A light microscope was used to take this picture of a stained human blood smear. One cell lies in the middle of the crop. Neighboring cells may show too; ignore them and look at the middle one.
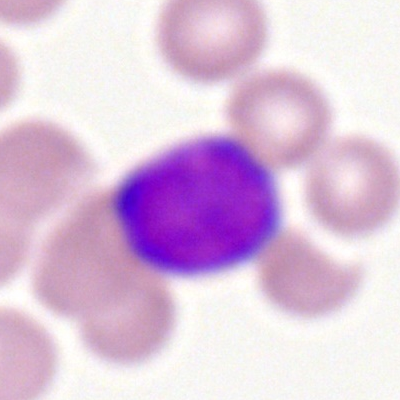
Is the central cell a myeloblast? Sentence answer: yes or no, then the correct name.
Yes, the centred cell is categorised as a myeloblast.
